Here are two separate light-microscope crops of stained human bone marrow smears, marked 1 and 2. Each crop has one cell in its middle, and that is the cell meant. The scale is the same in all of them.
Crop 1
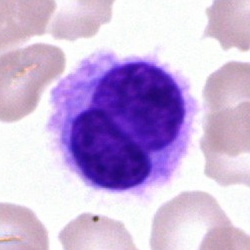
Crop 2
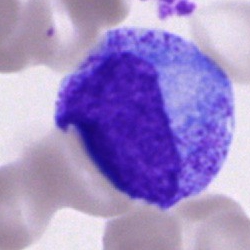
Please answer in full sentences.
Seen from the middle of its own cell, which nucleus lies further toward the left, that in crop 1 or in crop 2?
It is the nucleus in crop 2 that lies further toward the left of its cell.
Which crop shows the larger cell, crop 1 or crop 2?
The cell in crop 2 is larger, with about 1.5 times the area of the one in crop 1.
